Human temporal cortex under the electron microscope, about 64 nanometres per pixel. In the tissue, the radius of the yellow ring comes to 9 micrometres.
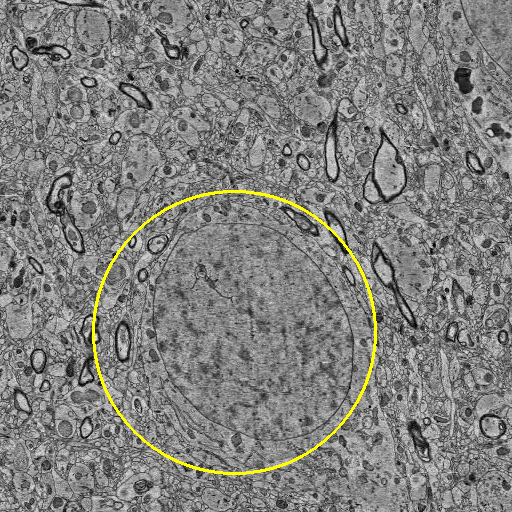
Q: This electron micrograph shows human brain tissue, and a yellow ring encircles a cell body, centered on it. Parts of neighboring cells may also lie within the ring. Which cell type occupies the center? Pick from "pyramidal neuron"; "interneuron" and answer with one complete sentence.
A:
What sits at the ring's center in this micrograph is a pyramidal neuron, among those choices.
